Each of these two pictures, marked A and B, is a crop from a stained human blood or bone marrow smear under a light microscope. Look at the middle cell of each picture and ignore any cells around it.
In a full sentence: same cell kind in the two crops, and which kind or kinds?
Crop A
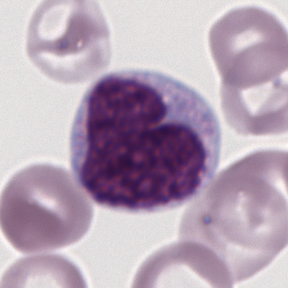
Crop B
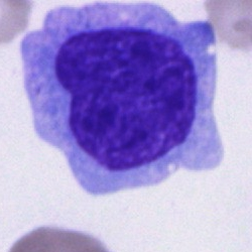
Yes, both crops have monocytes as their central cells.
